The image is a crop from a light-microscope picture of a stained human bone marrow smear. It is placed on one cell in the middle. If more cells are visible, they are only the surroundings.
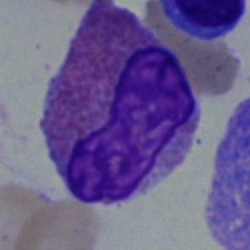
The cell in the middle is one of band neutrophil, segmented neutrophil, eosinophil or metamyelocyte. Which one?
eosinophil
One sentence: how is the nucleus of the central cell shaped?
Round, oval or kidney-shaped, the nucleus is one compact mass.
